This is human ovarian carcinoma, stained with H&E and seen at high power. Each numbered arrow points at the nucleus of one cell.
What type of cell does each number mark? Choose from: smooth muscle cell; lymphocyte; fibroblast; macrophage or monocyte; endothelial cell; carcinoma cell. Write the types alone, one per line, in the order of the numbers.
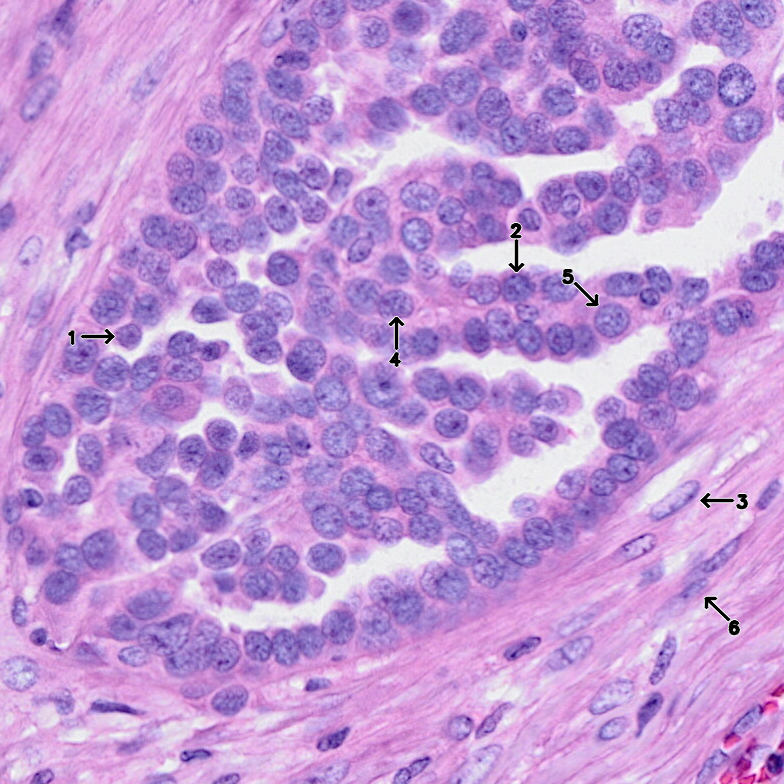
carcinoma cell
carcinoma cell
fibroblast
carcinoma cell
carcinoma cell
fibroblast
